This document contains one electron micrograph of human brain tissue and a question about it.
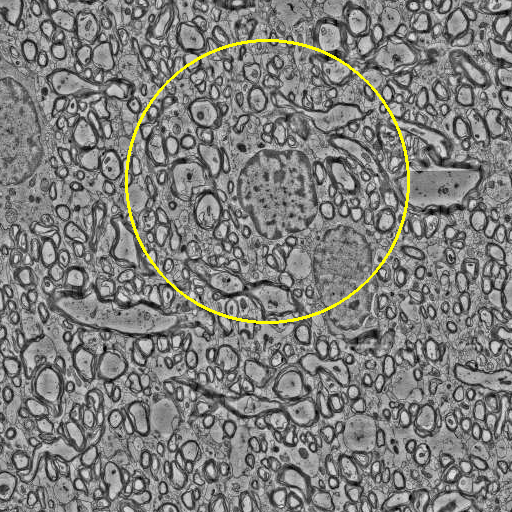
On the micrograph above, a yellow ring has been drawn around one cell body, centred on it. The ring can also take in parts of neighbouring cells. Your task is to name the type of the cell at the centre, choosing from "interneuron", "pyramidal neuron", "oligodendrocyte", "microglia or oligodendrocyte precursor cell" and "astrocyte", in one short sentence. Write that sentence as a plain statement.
Here the ring is centred on a microglial cell or oligodendrocyte precursor cell.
